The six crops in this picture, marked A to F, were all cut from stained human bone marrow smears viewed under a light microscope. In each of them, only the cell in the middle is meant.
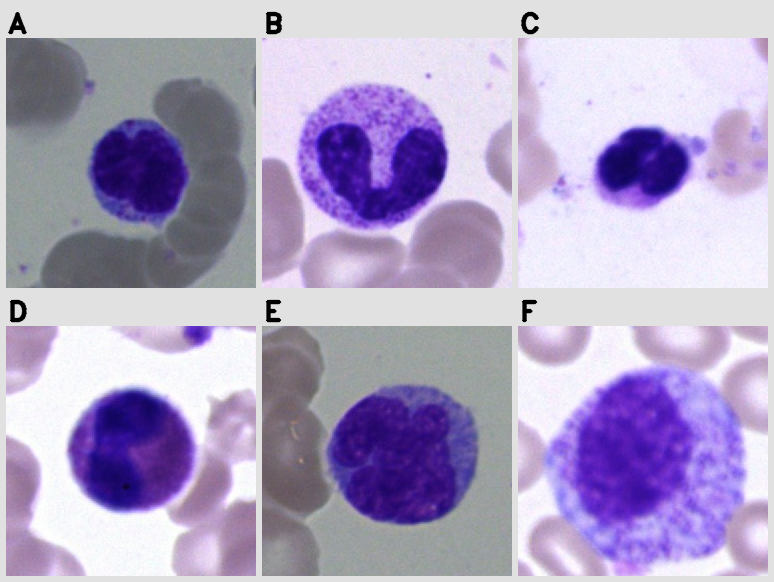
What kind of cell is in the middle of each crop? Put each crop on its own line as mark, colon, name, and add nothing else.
A: lymphocyte
B: segmented neutrophil
C: segmented neutrophil
D: eosinophil
E: monocyte
F: promyelocyte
